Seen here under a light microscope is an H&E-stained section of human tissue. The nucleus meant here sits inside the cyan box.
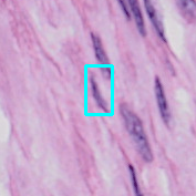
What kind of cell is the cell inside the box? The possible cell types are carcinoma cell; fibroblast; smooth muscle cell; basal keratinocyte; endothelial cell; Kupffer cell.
fibroblast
